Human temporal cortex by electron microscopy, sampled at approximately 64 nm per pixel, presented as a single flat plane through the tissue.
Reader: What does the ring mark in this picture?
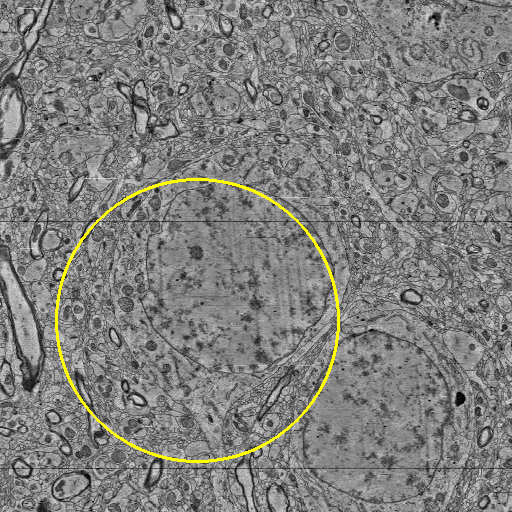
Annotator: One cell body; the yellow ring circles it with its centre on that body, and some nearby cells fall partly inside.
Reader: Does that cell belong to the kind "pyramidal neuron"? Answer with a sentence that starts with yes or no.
Yes, in this picture the ringed cell at the centre belongs to that kind.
